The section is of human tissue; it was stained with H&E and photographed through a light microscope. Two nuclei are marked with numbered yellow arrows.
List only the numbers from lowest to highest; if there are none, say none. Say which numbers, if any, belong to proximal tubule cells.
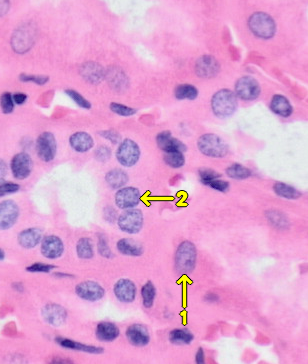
1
